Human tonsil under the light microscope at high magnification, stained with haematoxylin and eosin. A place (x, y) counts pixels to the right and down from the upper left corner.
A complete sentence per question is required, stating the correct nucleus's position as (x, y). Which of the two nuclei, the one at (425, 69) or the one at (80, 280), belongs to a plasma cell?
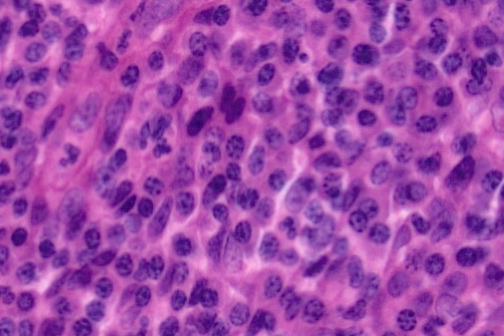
The nucleus contained in a plasma cell is the one at (425, 69).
